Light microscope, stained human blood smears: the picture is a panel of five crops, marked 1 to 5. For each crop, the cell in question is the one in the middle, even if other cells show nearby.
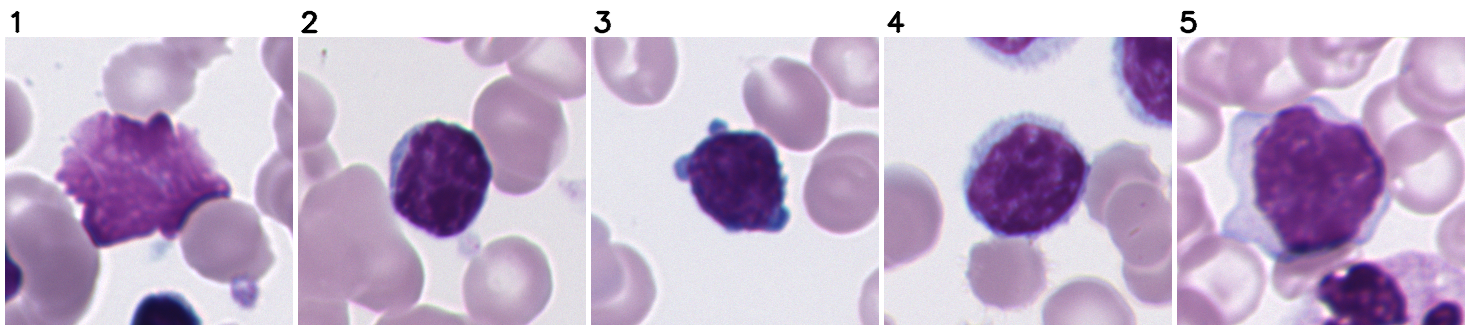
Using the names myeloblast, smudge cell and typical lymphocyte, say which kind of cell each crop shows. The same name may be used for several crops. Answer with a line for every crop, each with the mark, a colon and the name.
1: smudge cell
2: typical lymphocyte
3: typical lymphocyte
4: typical lymphocyte
5: typical lymphocyte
